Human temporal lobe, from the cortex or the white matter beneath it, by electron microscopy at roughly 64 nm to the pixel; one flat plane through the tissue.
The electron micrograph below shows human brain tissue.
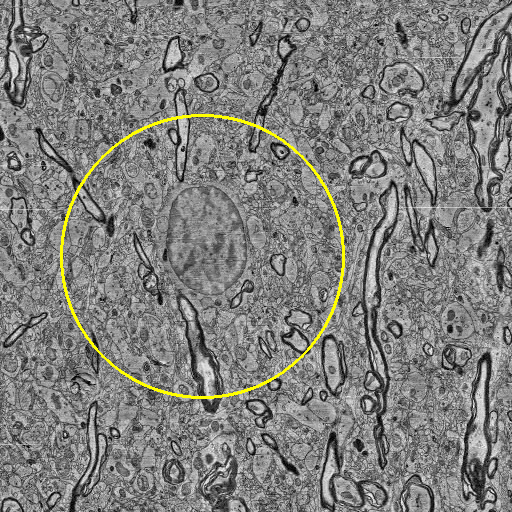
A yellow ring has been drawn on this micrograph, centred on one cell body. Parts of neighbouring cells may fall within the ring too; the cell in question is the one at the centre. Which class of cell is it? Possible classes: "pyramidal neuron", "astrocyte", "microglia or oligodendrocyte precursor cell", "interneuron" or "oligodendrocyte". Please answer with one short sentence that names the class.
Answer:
In the centre of the ring sits an oligodendrocyte.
